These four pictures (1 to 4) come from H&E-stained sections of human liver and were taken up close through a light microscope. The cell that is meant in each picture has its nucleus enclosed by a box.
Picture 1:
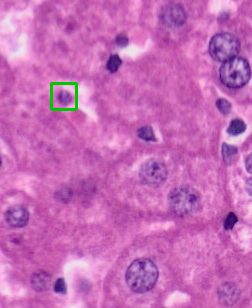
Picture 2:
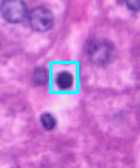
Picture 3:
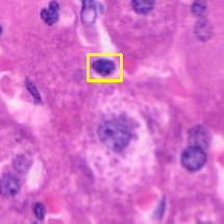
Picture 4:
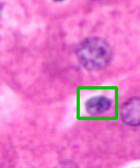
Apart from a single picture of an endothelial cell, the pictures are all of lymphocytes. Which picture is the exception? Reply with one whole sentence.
Picture 4 shows the endothelial cell.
